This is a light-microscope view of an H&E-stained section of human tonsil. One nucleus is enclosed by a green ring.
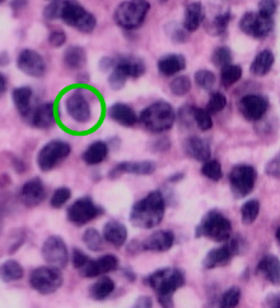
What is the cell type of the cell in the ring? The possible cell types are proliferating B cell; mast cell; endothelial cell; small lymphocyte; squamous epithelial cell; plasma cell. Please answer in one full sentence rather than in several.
Just put down that the cell in the ring is a proliferating B cell.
